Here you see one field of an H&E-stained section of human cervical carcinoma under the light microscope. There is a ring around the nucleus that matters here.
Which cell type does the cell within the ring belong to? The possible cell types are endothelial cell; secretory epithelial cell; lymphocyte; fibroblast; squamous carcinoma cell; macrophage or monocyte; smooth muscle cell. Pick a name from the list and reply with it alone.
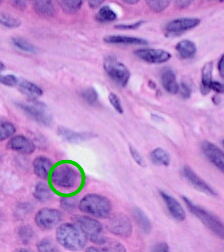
secretory epithelial cell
